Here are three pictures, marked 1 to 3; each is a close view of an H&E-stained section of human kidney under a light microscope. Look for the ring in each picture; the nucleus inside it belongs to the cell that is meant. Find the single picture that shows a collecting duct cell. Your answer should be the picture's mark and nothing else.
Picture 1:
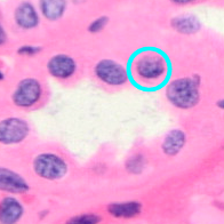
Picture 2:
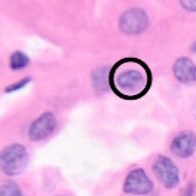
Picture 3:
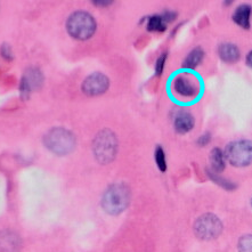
3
